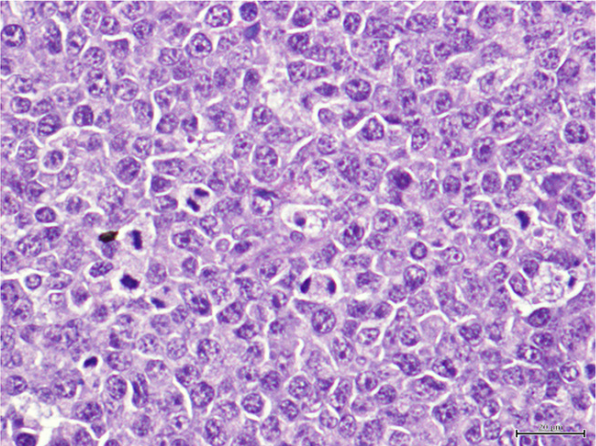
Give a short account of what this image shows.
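A lymphoma made of a diffuse, densely packed sheet of monomorphic round cells. Cytoplasm is scant and pale pink, and cell borders show as thin clear lines. Several dividing cells stand out with dark, condensed, irregular chromosome masses, showing brisk mitotic activity. A few larger pale cells with clear cytoplasm containing debris lie among the tumor cells. No normal tissue architecture remains in the field.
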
